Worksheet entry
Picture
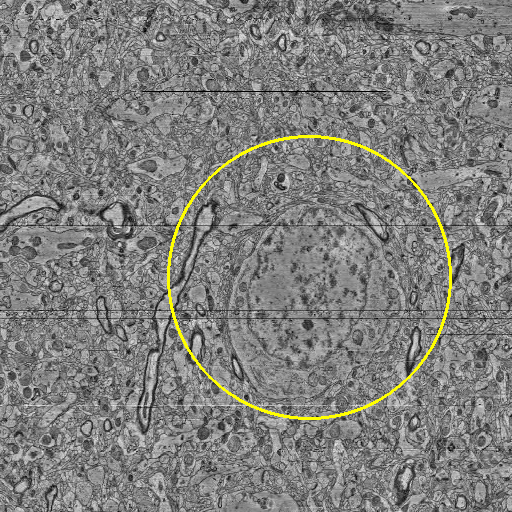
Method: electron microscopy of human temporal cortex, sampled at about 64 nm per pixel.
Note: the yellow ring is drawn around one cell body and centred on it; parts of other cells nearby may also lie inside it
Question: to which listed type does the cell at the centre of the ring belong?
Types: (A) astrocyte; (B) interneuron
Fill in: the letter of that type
B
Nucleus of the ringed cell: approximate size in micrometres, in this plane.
In this plane the nucleus spans approximately 11 by 8 micrometers.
